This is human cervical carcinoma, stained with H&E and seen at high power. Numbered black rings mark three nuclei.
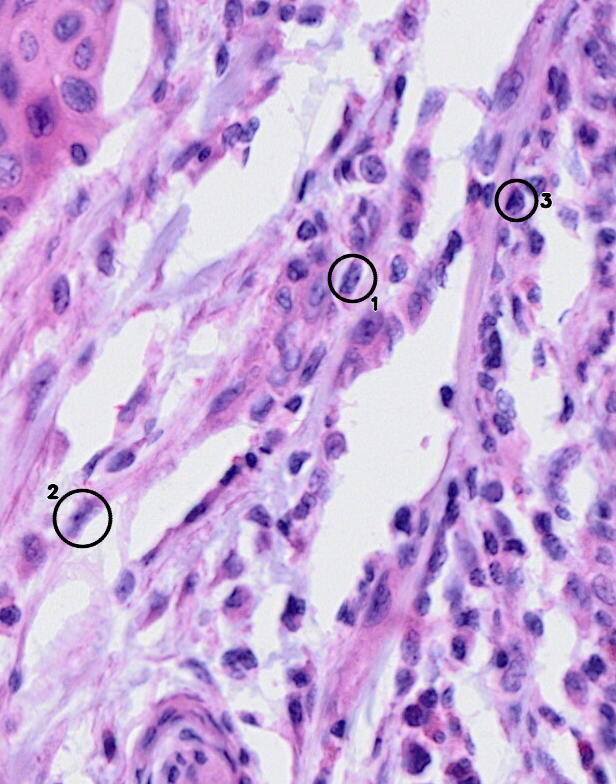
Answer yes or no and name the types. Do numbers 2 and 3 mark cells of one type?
No, while cell 2 is a fibroblast, cell 3 is a lymphocyte.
